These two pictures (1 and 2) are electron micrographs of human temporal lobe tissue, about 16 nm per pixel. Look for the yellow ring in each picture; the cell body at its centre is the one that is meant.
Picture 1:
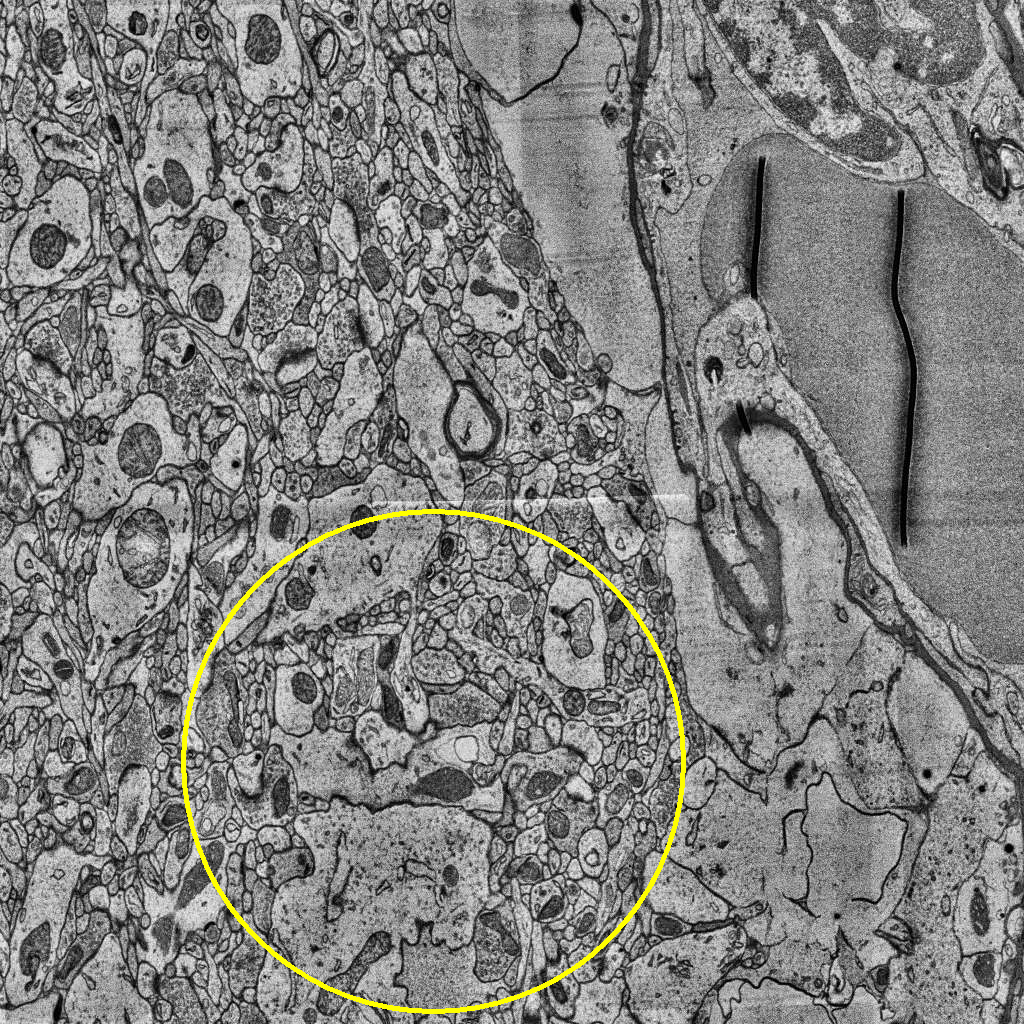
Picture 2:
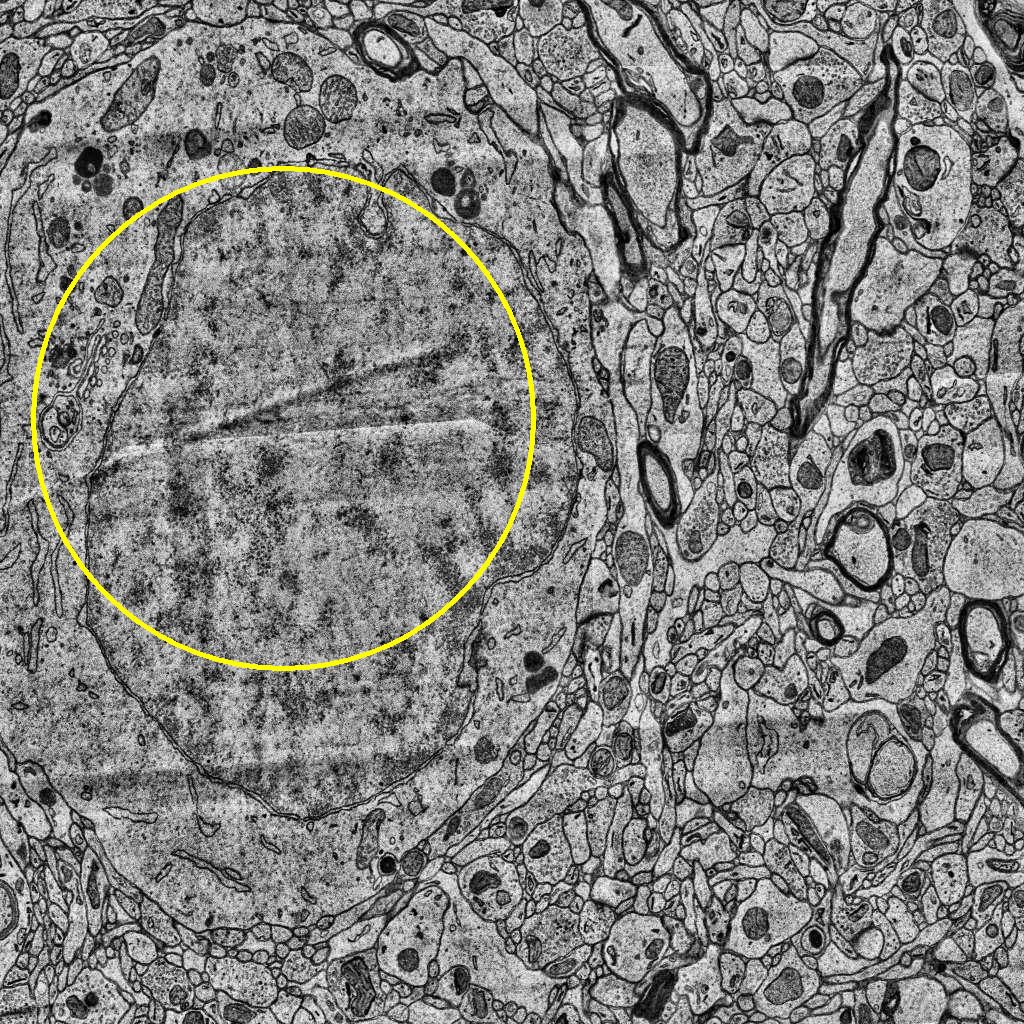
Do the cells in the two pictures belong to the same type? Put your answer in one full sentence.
Yes, the two pictures both show interneurons.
